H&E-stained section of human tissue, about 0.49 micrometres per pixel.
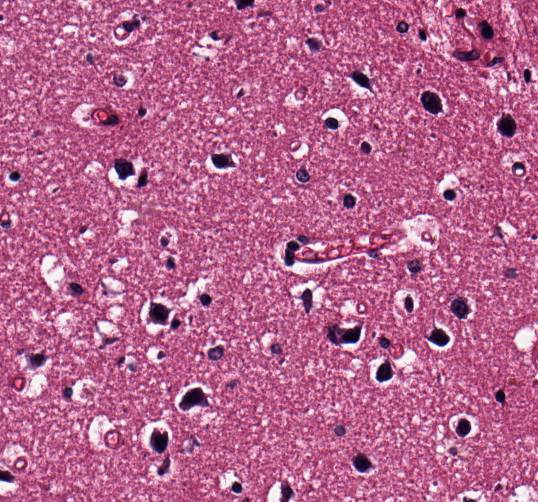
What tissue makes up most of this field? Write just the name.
cerebral cortex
